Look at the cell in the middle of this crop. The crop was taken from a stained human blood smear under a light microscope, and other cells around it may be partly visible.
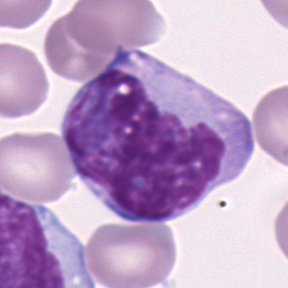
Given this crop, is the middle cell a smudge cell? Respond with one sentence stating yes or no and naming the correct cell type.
No, the central cell is a myeloblast; it should not be labelled a smudge cell.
